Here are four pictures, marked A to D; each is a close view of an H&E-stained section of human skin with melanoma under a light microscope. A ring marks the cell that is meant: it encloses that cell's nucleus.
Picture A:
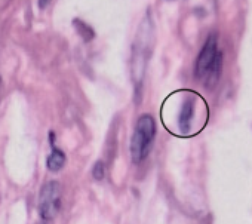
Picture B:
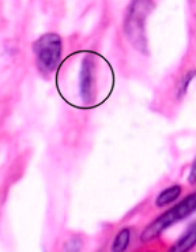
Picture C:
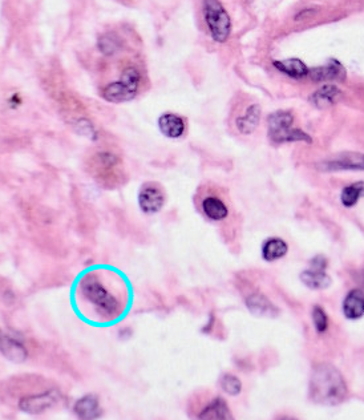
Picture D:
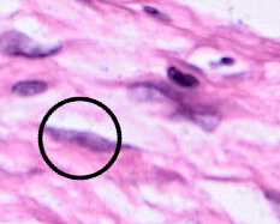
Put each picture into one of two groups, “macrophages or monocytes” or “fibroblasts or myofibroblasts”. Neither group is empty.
A: fibroblast or myofibroblast
B: fibroblast or myofibroblast
C: macrophage or monocyte
D: fibroblast or myofibroblast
